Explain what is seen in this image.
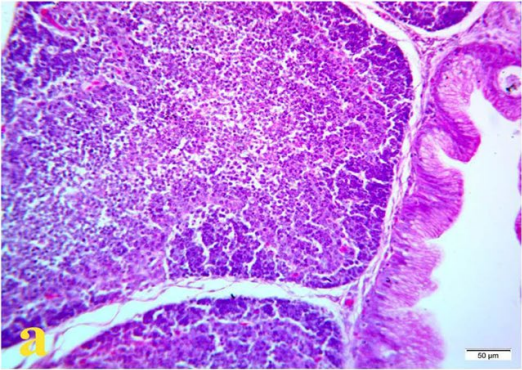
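Bursa of Fabricius with closely packed lymphoid follicles separated by thin connective tissue septa. Follicles are densely filled with small, darkly stained lymphocytes, with a somewhat paler central region in the large follicle. At the right, folds are lined by tall columnar epithelium stained pink-purple.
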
